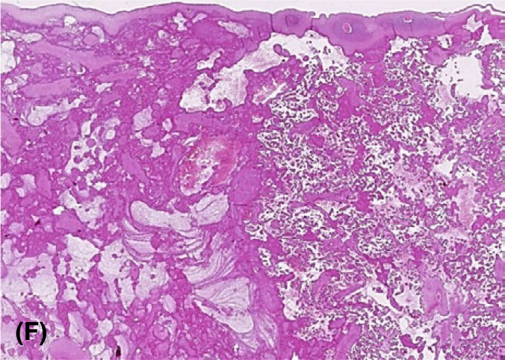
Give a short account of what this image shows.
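This is placental tissue below a thin pink chorionic plate, with two differing zones of villi side by side. On the left the villi are pale pink, glassy and swollen, with few nuclei, and hold no red blood cells in their cores. The change from one zone to the other is fairly abrupt across the middle of the field.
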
